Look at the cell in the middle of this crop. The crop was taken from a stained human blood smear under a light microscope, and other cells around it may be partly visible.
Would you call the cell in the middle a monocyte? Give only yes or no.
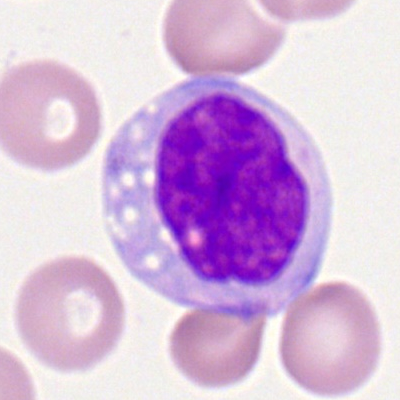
yes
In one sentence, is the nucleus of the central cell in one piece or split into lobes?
There is one compact nucleus, and its shape is round, oval or kidney-like.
